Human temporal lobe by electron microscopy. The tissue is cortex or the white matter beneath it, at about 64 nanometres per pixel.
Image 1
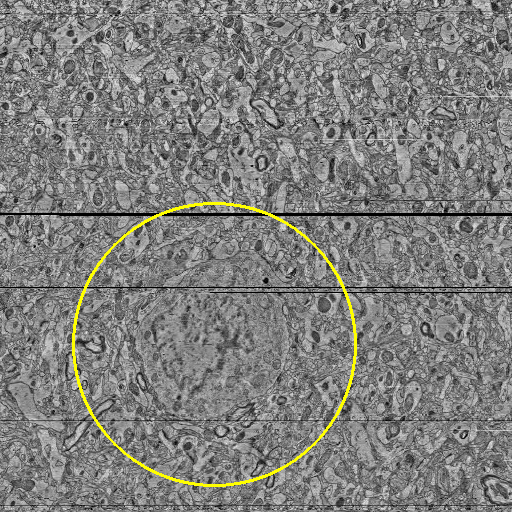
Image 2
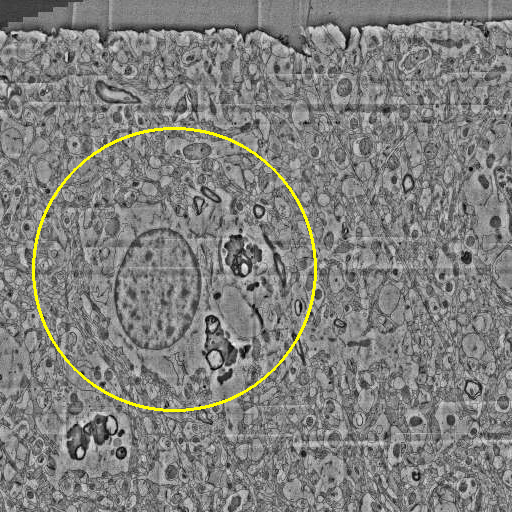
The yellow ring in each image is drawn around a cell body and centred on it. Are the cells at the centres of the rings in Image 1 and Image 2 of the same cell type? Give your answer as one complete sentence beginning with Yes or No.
No, the two cells are of two separate types.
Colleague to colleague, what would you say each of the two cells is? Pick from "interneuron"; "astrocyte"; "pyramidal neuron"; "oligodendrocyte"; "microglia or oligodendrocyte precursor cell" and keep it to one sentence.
The cell in the first picture is an interneuron; the second picture's cell is an astrocyte.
